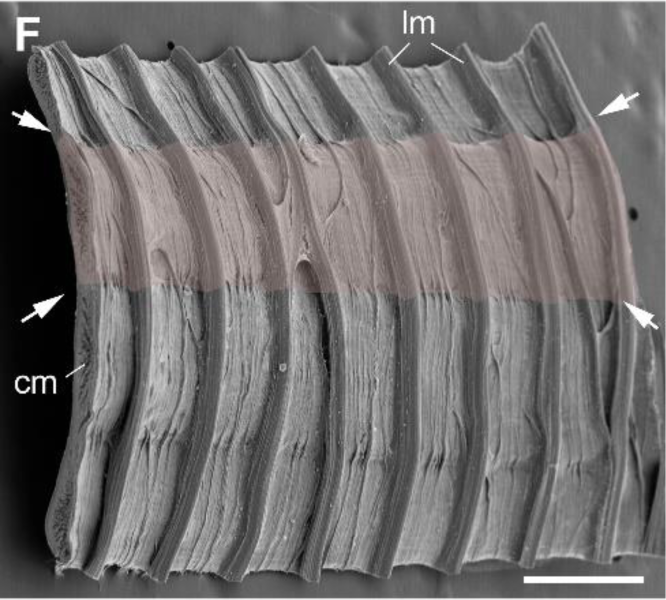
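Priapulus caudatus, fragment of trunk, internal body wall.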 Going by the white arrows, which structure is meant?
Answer: Annulation boundaries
